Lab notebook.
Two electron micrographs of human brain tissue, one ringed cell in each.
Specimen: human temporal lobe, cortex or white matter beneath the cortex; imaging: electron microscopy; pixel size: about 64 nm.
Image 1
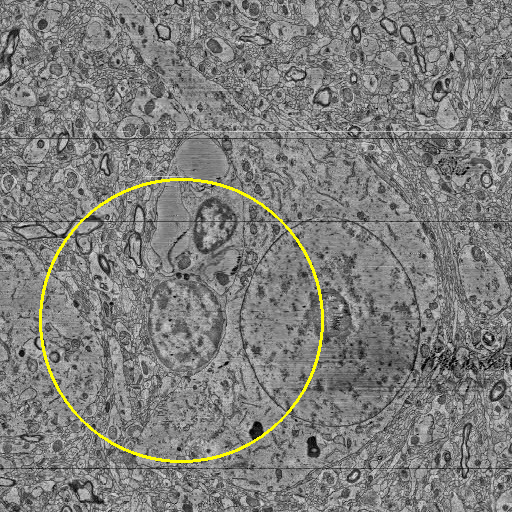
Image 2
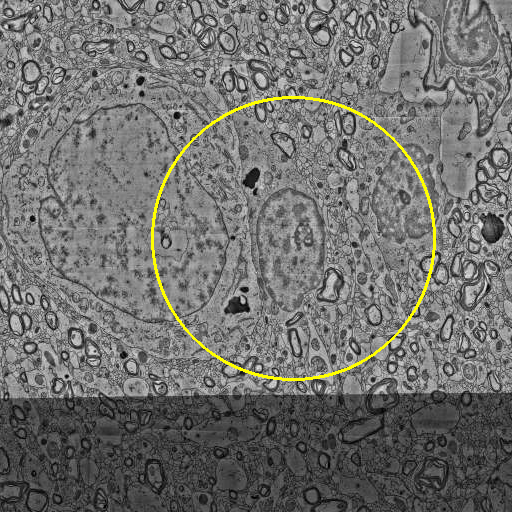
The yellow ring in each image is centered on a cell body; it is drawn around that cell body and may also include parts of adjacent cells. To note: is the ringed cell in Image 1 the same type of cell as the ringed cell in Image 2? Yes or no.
yes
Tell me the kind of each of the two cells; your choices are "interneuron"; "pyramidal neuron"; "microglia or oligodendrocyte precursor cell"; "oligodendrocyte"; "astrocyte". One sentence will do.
Each of the two rings surrounds an oligodendrocyte.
